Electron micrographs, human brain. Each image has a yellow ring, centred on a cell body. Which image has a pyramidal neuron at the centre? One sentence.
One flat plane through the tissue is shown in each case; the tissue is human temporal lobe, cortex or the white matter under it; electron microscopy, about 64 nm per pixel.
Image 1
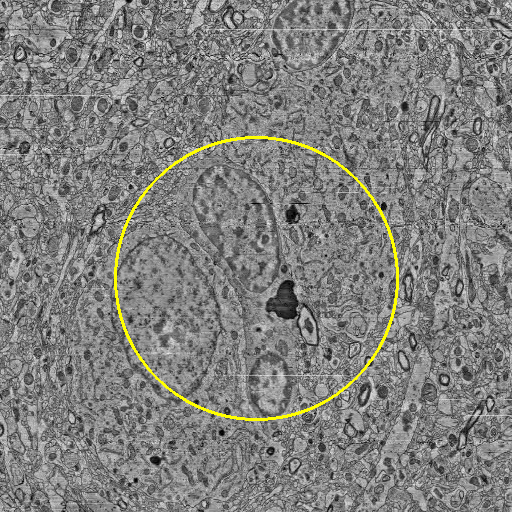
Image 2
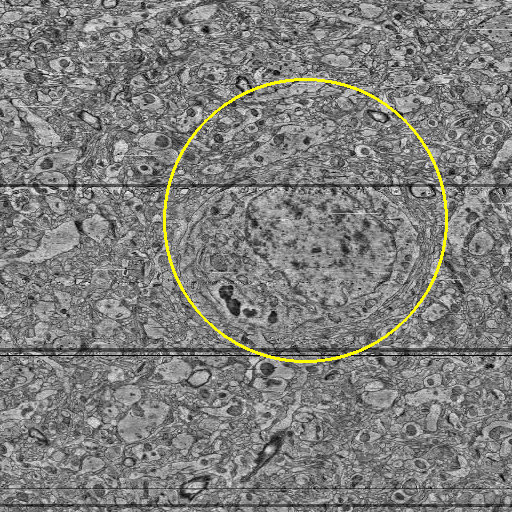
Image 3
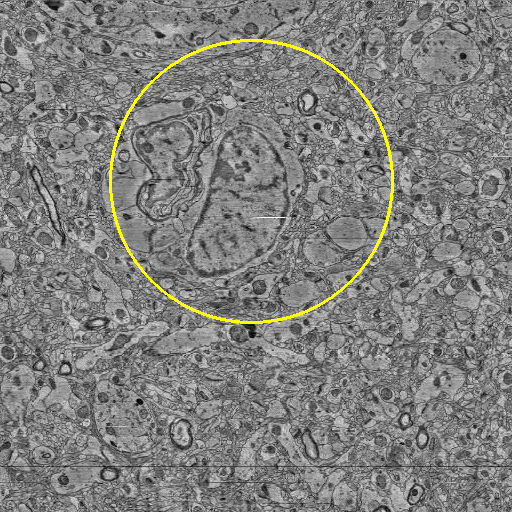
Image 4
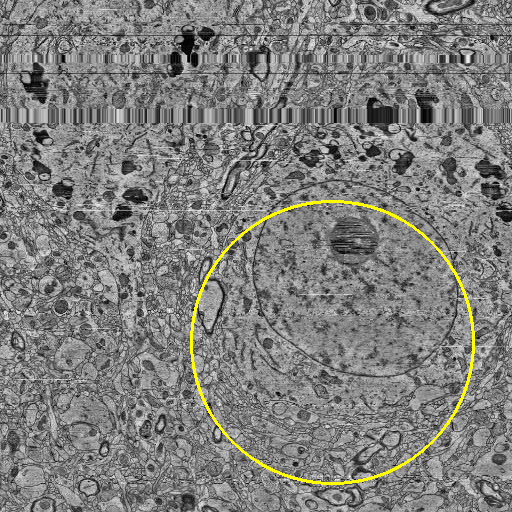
The ring in Image 4 is centred on it.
